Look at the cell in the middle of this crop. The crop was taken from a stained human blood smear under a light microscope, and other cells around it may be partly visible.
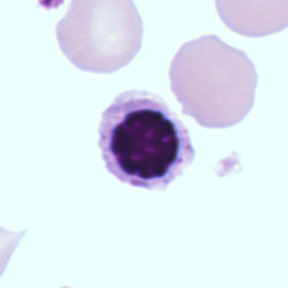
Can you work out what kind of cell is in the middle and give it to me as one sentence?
The centrally placed cell is classified as a normoblast.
